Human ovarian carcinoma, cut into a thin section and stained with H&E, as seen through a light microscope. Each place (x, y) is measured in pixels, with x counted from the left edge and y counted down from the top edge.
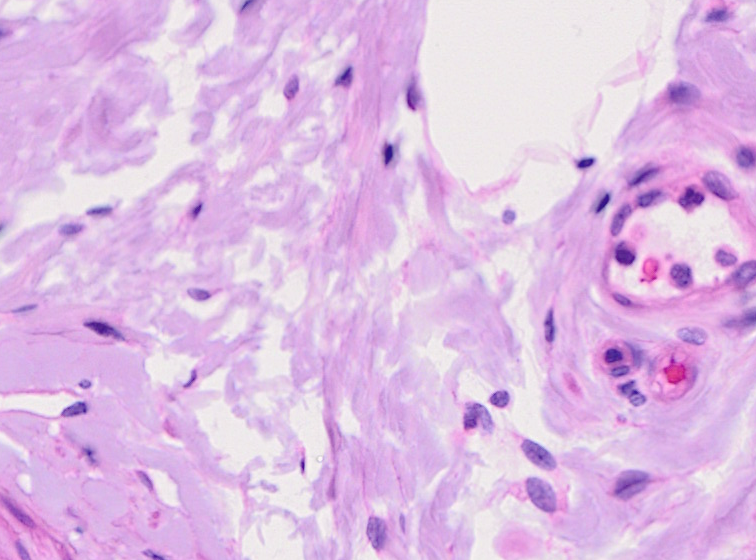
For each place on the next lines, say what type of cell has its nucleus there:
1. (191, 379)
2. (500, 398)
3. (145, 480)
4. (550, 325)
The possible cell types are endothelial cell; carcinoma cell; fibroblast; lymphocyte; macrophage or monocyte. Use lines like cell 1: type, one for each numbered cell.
cell 1: fibroblast
cell 2: lymphocyte
cell 3: fibroblast
cell 4: fibroblast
